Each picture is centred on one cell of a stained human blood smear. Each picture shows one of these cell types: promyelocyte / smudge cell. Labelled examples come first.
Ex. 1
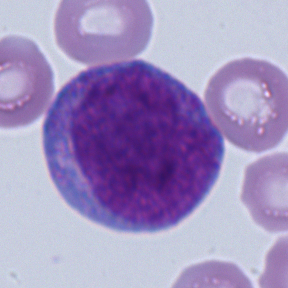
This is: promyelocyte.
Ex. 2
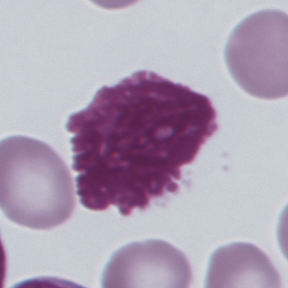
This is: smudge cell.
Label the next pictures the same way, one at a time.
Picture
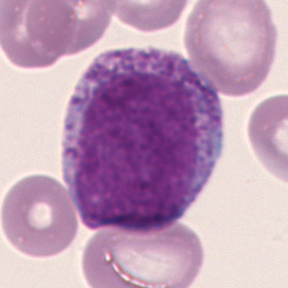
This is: promyelocyte.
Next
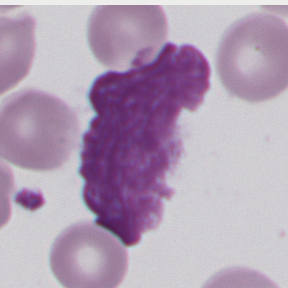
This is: smudge cell.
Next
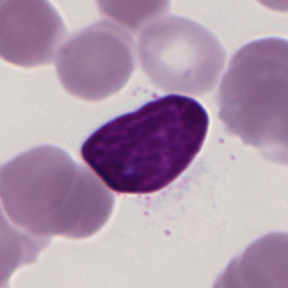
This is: smudge cell.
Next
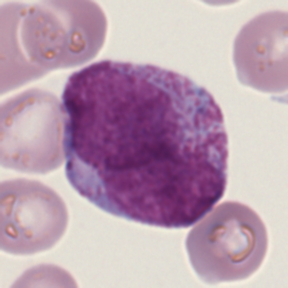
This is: promyelocyte.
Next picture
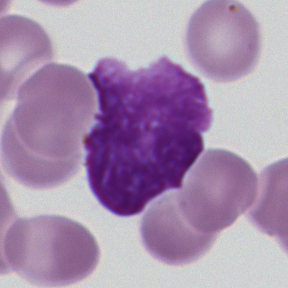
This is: smudge cell.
